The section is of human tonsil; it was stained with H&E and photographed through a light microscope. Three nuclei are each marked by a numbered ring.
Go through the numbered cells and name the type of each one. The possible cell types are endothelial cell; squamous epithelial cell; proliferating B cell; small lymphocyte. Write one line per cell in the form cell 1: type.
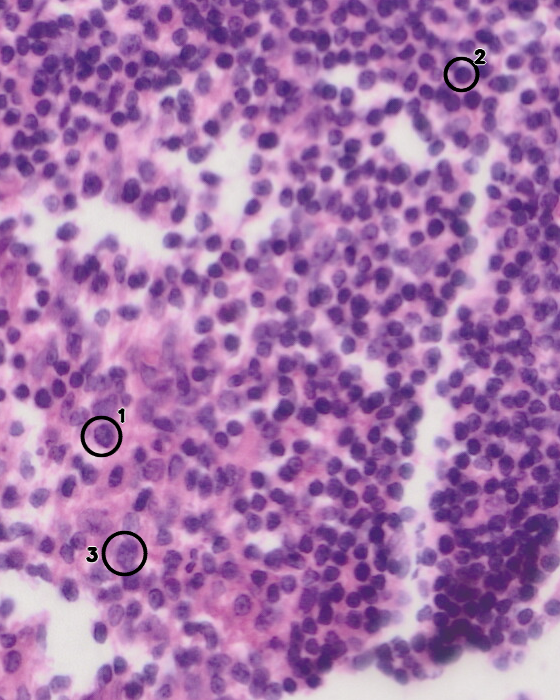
cell 1: proliferating B cell
cell 2: small lymphocyte
cell 3: proliferating B cell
